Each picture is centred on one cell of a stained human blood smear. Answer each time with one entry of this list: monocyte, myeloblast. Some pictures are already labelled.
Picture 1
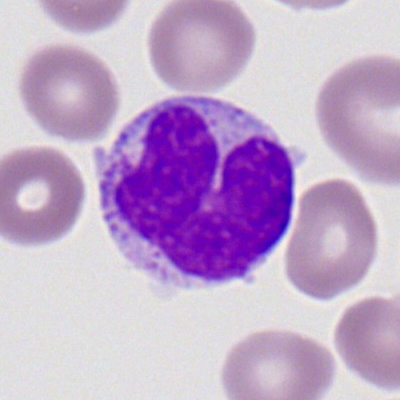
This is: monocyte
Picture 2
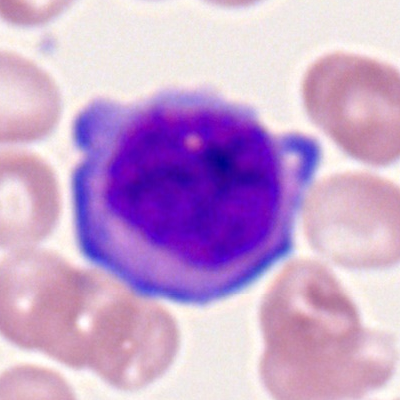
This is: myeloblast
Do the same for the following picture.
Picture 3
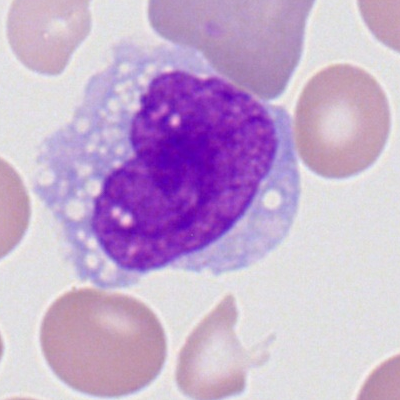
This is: monocyte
